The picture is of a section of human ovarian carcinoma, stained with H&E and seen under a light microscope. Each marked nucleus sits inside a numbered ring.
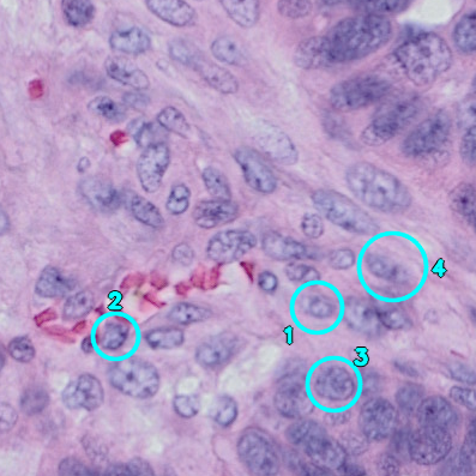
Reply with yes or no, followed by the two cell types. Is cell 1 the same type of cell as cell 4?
Yes, by cell type, cells 1 and 4 are both fibroblasts.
